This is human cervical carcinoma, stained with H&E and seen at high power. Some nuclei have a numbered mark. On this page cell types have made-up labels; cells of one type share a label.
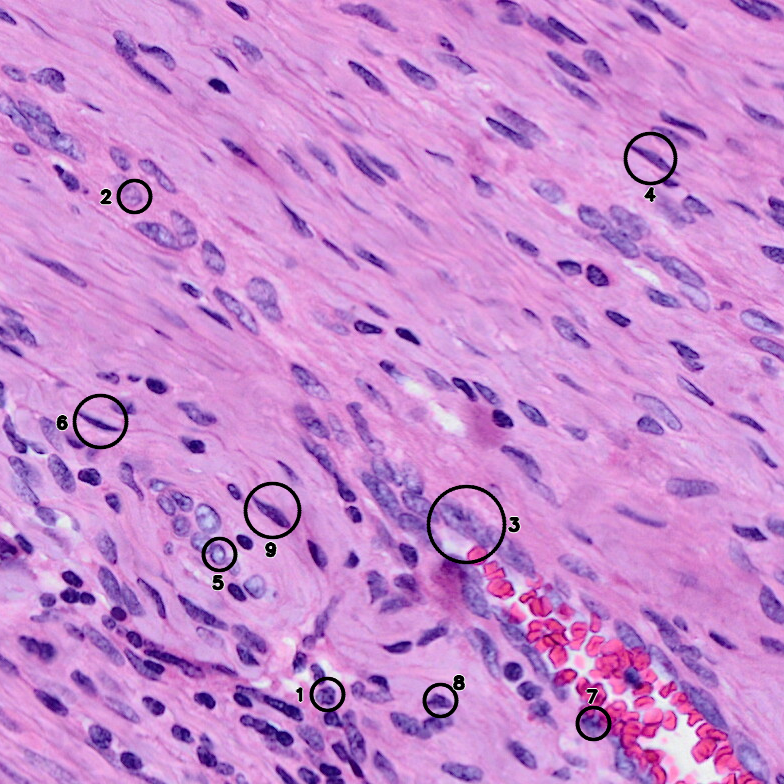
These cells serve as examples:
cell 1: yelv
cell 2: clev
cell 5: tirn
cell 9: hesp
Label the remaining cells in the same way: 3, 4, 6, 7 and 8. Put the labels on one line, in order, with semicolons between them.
tirn; hesp; hesp; tirn; hesp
